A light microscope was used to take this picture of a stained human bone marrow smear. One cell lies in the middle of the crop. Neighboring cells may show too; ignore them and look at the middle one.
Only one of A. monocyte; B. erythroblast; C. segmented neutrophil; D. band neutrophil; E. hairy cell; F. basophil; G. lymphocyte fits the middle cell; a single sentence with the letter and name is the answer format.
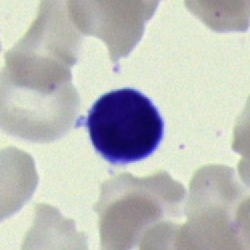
In this crop the central cell is a lymphocyte, which option G correctly states.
